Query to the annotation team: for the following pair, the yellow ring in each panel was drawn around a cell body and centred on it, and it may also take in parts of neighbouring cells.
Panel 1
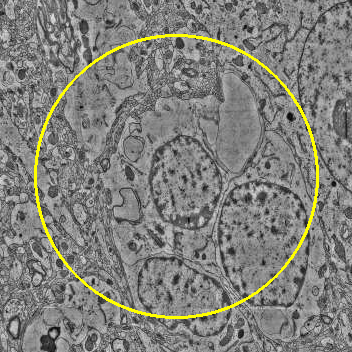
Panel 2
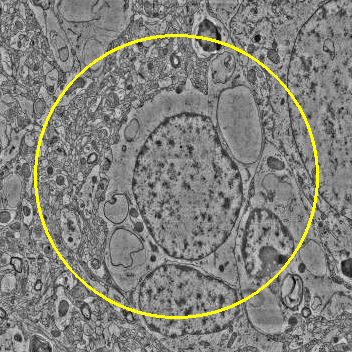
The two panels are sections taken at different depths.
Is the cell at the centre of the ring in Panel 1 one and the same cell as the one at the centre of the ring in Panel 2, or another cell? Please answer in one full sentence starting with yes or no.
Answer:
Yes, a single cell is marked twice, once by each yellow ring.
